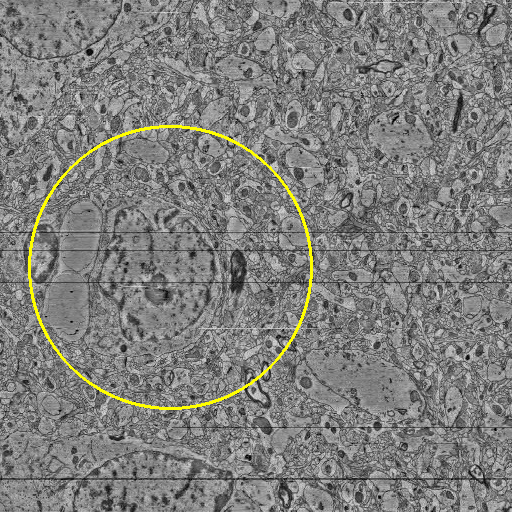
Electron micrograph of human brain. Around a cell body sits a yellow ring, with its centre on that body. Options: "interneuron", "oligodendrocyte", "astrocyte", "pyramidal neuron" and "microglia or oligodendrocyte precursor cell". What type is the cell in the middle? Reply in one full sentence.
The cell sitting at the centre of the yellow ring is an interneuron.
